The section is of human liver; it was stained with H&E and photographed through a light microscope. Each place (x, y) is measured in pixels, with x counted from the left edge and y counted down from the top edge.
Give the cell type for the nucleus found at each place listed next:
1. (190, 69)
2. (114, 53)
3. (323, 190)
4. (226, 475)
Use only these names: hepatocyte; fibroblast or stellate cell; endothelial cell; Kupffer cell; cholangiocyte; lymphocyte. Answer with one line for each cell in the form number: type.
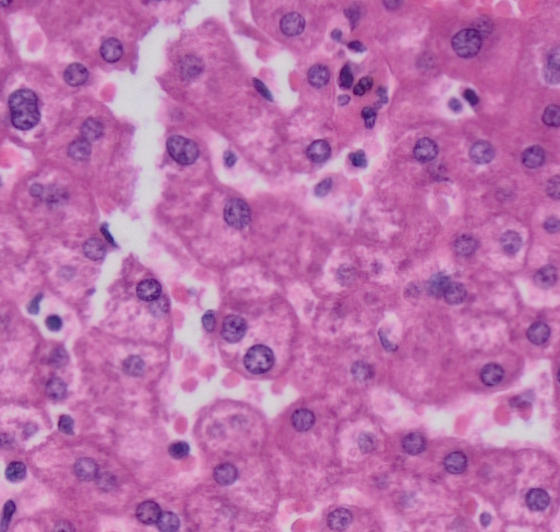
1: hepatocyte
2: hepatocyte
3: Kupffer cell
4: hepatocyte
